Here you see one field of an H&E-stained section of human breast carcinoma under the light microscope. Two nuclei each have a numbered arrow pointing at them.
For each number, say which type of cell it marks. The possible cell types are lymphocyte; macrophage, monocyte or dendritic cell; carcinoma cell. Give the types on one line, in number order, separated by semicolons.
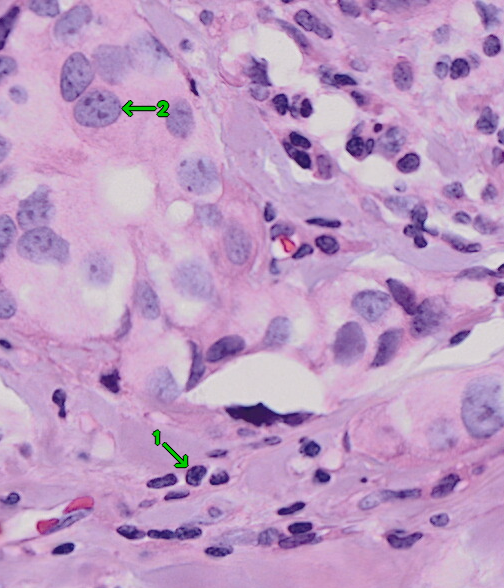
lymphocyte; carcinoma cell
